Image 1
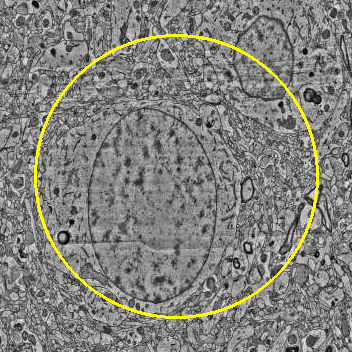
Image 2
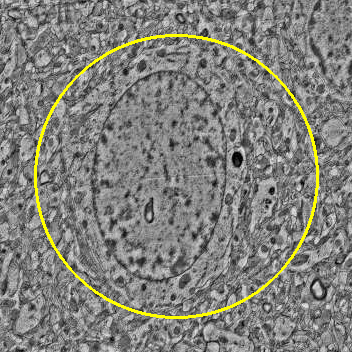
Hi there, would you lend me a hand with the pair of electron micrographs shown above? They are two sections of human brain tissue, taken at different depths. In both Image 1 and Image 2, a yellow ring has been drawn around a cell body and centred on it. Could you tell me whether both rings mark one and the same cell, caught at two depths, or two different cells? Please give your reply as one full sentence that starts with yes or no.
No, the cells inside the two rings are not the same cell.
